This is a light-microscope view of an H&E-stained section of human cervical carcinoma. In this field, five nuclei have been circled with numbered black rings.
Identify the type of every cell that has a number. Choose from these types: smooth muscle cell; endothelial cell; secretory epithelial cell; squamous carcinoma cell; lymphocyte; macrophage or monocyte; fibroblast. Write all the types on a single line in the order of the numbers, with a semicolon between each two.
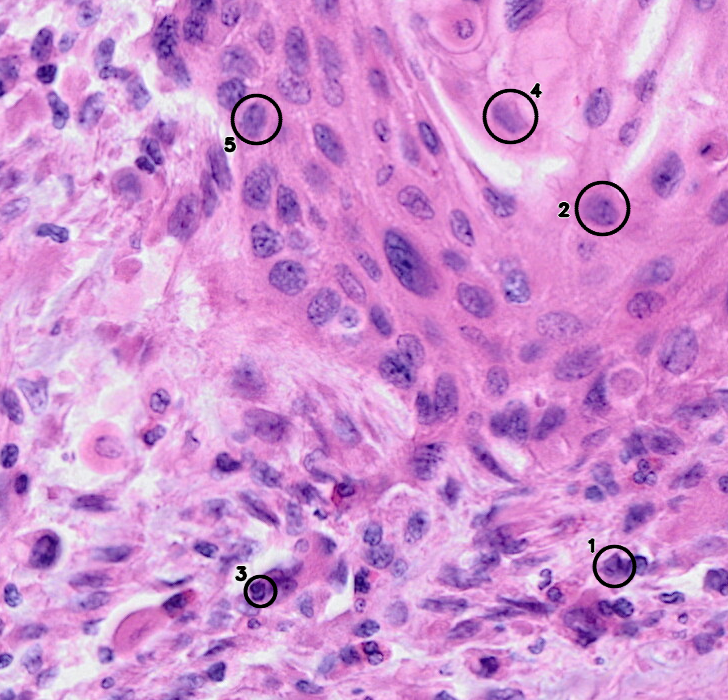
macrophage or monocyte; squamous carcinoma cell; lymphocyte; squamous carcinoma cell; squamous carcinoma cell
